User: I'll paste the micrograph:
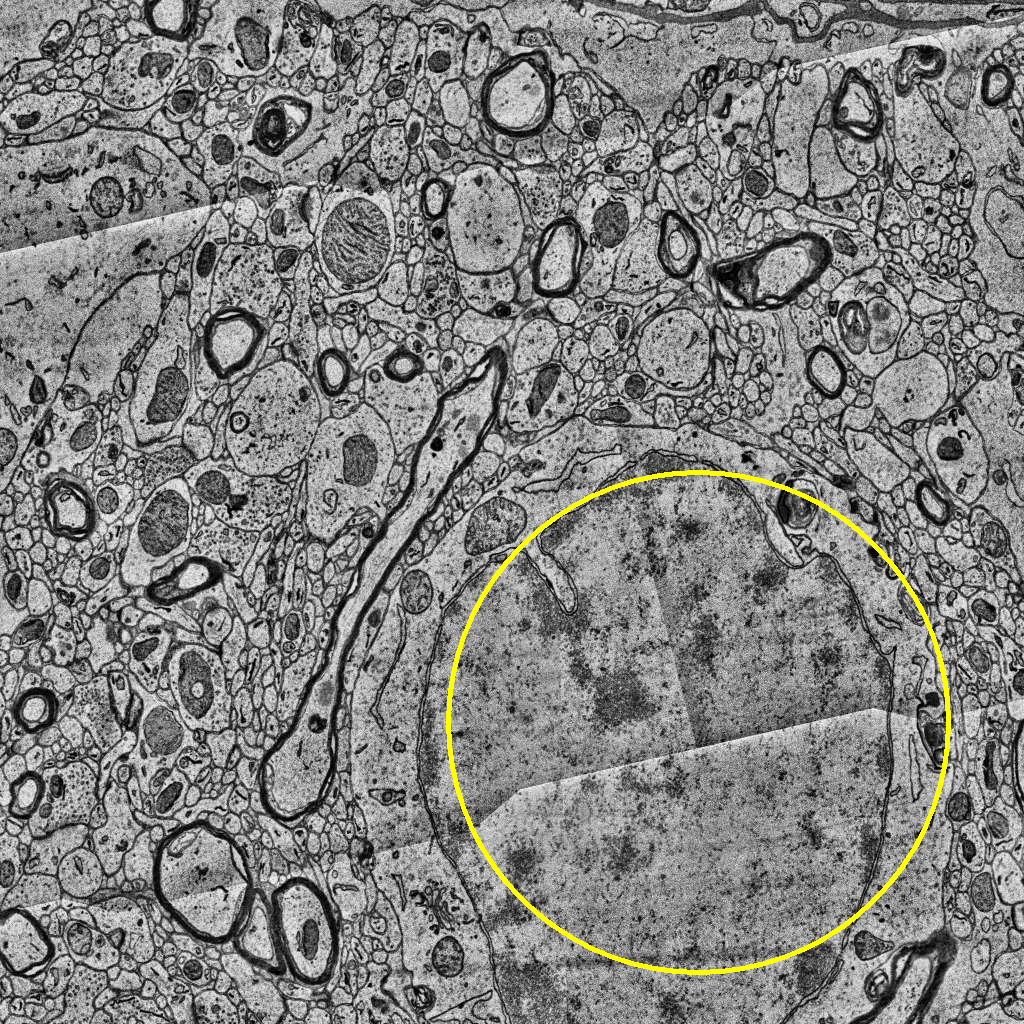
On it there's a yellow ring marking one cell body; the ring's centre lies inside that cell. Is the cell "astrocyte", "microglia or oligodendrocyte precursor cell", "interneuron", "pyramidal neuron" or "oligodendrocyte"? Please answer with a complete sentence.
The cell at the centre of the yellow ring is an interneuron.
